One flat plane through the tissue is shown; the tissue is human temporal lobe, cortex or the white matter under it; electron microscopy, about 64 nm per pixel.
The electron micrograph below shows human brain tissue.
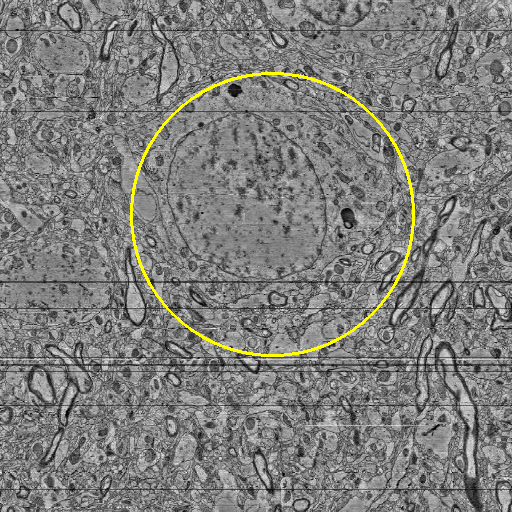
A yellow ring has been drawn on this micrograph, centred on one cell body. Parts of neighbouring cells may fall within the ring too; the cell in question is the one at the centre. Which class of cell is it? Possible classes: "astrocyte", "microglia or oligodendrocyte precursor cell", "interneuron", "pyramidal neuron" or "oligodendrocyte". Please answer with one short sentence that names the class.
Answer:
In the centre of the ring sits a pyramidal neuron.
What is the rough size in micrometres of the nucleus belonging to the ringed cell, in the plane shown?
In this plane, roughly 12 by 10 micrometres.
